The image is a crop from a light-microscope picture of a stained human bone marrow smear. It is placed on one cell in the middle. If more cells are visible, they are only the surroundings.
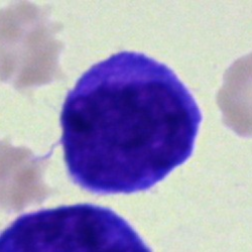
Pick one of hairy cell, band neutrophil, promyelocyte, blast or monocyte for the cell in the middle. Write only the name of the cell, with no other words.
blast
